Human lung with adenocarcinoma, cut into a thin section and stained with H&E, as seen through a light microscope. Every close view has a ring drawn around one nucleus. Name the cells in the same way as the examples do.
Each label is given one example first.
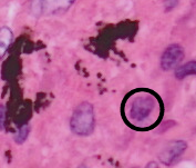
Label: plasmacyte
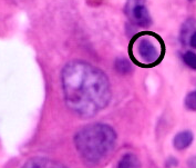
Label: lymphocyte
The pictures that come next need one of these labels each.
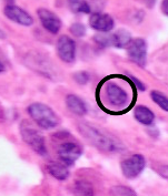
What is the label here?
plasmacyte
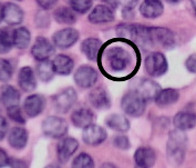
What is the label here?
lymphocyte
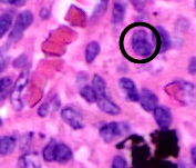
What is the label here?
lymphocyte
